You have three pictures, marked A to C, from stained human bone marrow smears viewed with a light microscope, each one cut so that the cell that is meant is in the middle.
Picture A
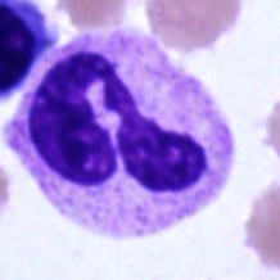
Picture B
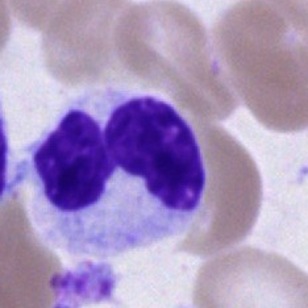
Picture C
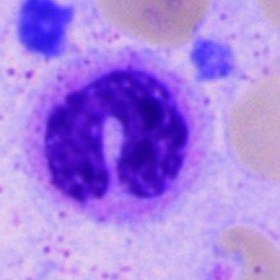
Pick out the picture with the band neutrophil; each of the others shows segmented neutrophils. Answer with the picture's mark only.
C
